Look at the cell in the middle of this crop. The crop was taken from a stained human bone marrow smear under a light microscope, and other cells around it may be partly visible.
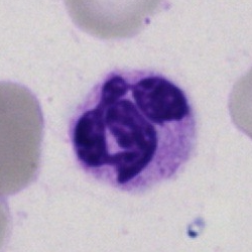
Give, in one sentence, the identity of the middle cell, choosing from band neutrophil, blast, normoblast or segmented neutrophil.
At the center of the crop sits a segmented neutrophil.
